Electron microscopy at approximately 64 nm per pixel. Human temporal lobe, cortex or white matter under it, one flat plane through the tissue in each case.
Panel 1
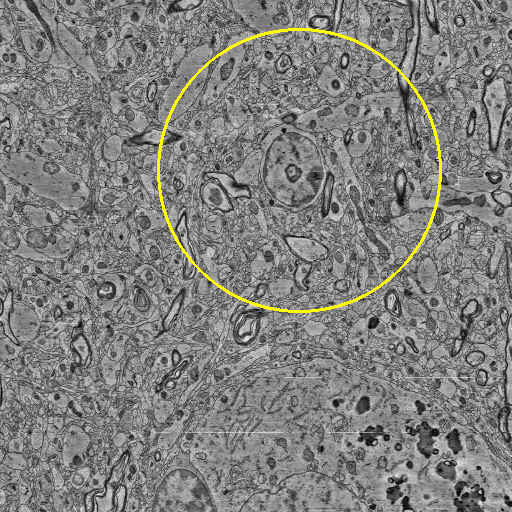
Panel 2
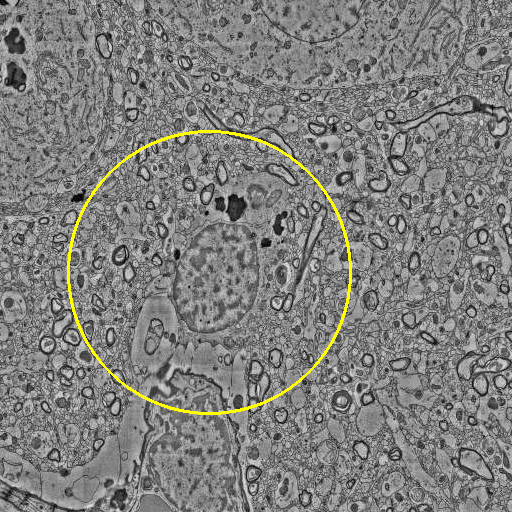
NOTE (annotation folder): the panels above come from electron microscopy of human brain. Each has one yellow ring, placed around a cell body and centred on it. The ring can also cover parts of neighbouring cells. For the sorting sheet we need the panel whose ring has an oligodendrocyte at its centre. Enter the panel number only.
2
